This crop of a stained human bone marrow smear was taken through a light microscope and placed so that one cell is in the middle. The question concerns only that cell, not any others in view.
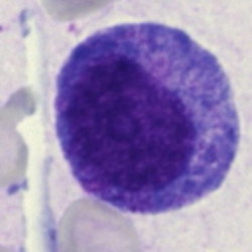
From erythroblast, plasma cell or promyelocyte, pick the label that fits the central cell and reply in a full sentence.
The central cell in this smear crop is a promyelocyte.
